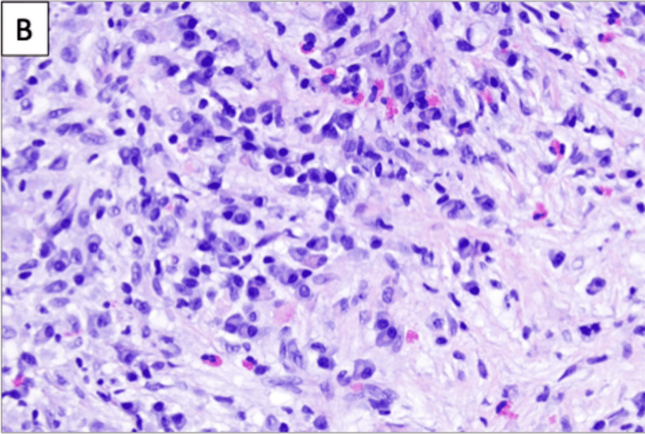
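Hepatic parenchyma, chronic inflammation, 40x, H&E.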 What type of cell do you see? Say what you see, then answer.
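Plasma cells. Many round to oval cells with dark, off-centre nuclei and a rim of purplish cytoplasm. These cells lie crowded within pale pink fibrous stroma.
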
